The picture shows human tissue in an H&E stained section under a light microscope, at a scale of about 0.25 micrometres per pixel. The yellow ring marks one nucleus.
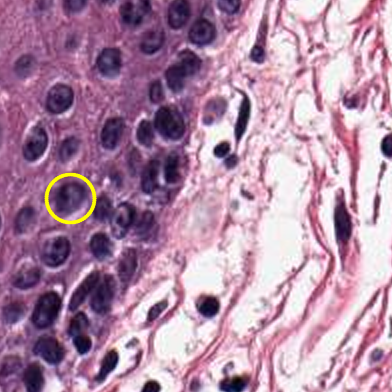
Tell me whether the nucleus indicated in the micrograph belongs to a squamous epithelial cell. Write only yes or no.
yes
